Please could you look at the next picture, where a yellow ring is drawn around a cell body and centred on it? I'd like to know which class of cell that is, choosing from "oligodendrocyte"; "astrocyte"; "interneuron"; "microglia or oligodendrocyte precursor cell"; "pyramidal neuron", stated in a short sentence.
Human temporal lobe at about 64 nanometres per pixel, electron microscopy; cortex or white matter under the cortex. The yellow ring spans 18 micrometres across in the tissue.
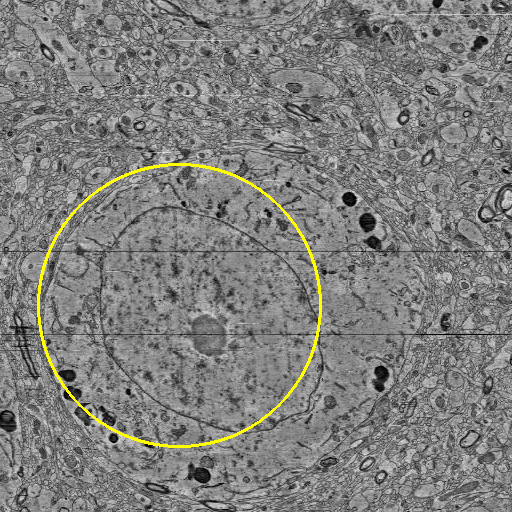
The ring's centre lies on a pyramidal neuron.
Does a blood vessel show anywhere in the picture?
No, a blood vessel is absent from this picture.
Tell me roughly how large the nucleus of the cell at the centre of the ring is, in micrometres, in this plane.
The ringed cell's nucleus measures approximately 17 by 13 micrometres in this plane.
